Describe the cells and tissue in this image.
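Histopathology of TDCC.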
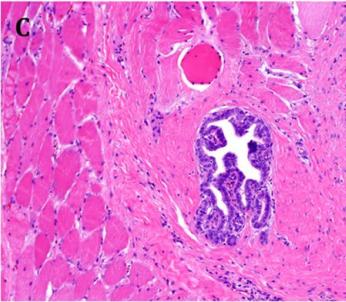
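Here small glandular foci of tumor lie embedded among skeletal muscle. The muscle fibres at the left and top are large, polygonal and deep pink, cut in cross section, with small nuclei at their edges. In the middle a small gland-like structure has a folded, branching lumen lined by columnar cells with crowded dark nuclei. A round vessel filled with red blood cells sits near the top.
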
